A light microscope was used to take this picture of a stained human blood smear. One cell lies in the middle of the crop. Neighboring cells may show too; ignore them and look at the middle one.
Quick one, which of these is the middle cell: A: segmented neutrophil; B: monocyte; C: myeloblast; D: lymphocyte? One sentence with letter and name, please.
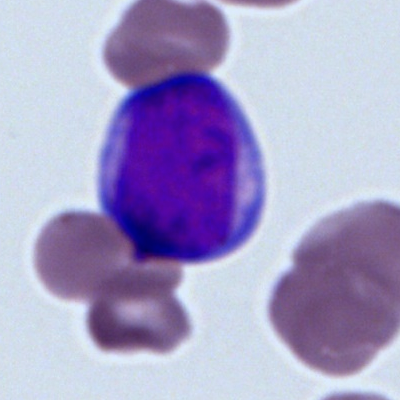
This one is option C, since the cell at the center is a myeloblast.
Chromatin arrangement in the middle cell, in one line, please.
Check the chromatin: it is fine and not coarsely clumped.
